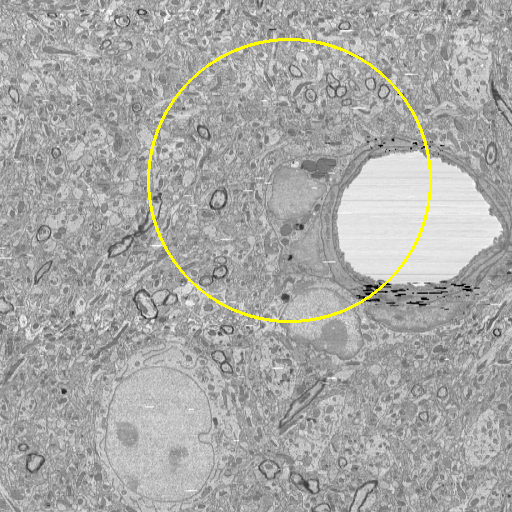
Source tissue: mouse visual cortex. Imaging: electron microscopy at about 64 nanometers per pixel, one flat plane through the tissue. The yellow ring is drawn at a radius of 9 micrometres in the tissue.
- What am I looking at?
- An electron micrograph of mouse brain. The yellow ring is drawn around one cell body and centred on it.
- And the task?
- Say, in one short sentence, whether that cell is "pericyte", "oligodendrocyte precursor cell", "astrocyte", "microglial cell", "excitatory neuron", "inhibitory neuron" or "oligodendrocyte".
The cell in the middle of the ring is a microglial cell.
